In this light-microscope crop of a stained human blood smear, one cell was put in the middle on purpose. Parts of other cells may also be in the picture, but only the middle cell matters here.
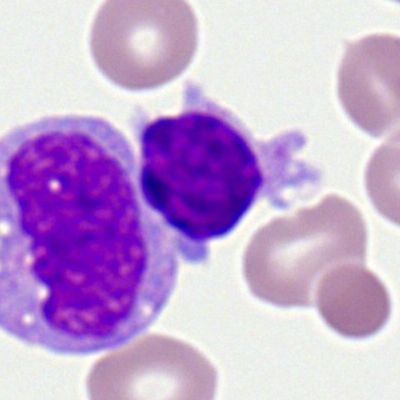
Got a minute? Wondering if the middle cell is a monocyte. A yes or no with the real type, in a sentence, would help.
No, the middle of the crop holds a lymphocyte, not a monocyte.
